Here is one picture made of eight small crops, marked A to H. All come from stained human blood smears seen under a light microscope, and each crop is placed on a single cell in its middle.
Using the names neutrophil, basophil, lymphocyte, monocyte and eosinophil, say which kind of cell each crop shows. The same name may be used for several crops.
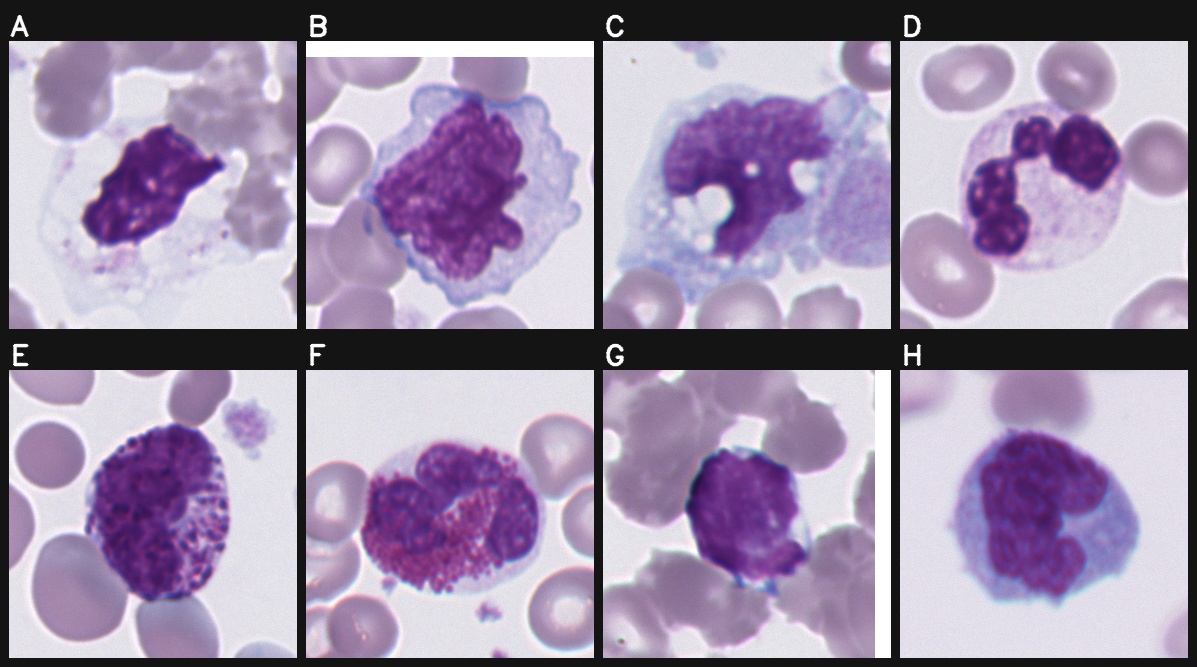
A: neutrophil
B: monocyte
C: monocyte
D: neutrophil
E: basophil
F: eosinophil
G: lymphocyte
H: monocyte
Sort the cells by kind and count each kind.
monocyte: 3
neutrophil: 2
basophil: 1
eosinophil: 1
lymphocyte: 1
